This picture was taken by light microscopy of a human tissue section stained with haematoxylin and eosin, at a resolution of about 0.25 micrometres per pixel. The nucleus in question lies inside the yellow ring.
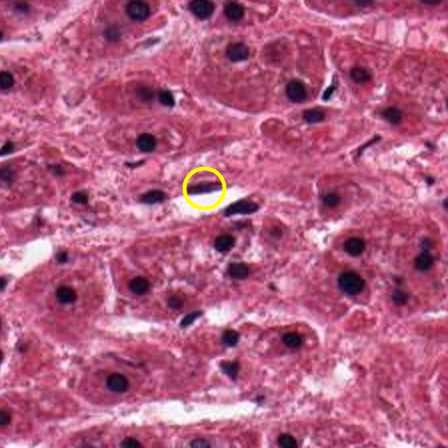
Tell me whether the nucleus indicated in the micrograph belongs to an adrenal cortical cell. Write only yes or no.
no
